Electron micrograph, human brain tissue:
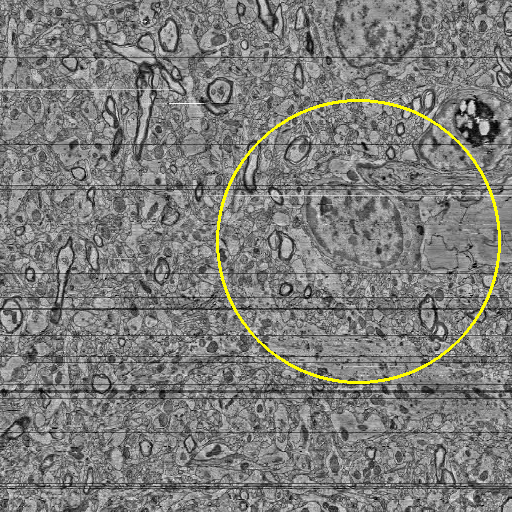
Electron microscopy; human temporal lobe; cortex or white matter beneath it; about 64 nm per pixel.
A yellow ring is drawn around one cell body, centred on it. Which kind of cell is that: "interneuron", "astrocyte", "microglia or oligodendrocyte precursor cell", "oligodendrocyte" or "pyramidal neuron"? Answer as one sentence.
It is an oligodendrocyte at the centre of the ring.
